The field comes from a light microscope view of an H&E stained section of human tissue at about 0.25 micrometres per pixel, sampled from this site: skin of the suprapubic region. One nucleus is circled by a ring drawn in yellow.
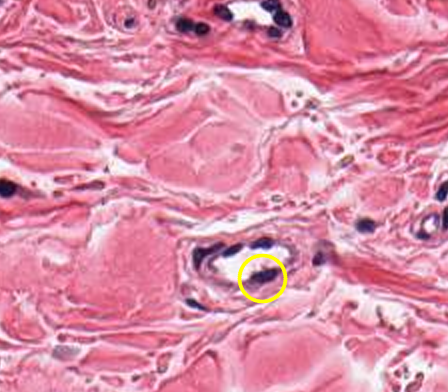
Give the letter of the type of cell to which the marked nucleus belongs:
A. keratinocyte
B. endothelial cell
B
